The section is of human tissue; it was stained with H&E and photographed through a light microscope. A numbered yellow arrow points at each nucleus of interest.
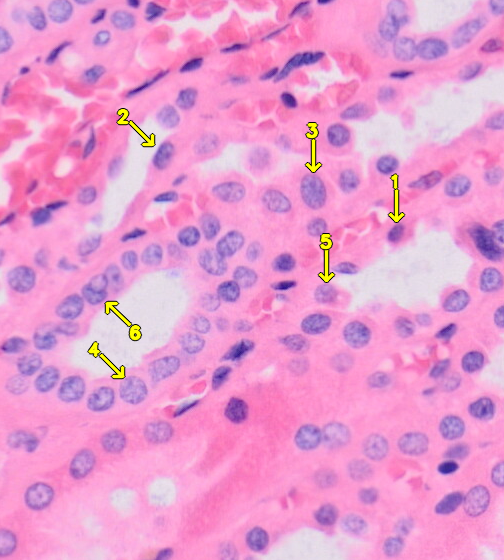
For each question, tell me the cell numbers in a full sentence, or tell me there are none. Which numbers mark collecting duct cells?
The cells 4 and 6 in this section are collecting duct cells.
